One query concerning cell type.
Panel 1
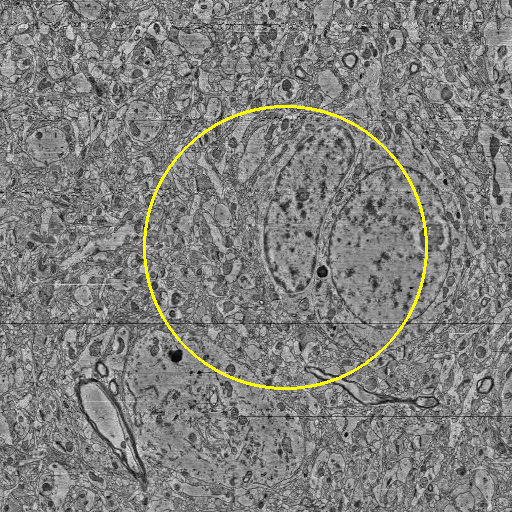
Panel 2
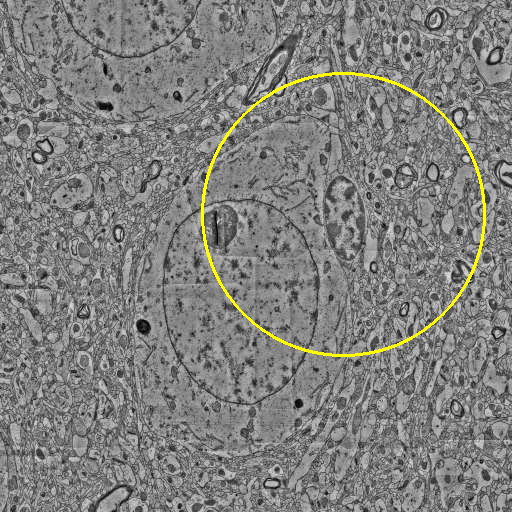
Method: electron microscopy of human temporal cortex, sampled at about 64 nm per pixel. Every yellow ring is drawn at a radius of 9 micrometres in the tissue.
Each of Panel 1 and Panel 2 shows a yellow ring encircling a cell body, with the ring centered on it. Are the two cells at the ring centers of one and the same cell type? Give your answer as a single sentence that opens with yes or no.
Yes, the cell centered in Panel 1 and the one in Panel 2 share a type.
